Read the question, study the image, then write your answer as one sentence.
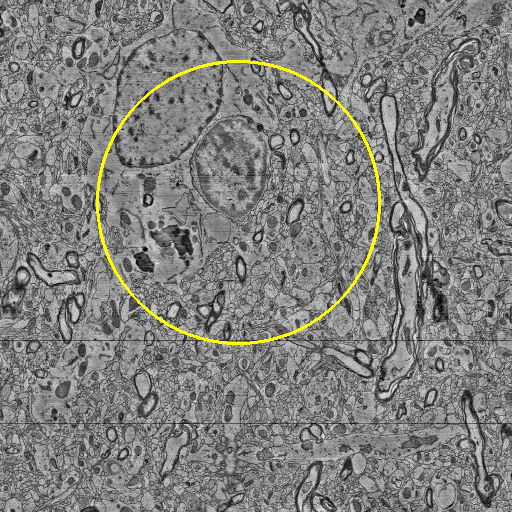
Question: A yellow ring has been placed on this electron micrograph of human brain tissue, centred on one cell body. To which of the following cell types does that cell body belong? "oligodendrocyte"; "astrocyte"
That cell body belongs to an oligodendrocyte.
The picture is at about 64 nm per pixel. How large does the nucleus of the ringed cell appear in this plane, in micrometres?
In this plane, the nucleus is roughly 7 by 5 micrometres.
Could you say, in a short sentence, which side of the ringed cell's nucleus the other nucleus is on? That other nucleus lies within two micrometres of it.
That other nucleus sits to the upper left of it.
